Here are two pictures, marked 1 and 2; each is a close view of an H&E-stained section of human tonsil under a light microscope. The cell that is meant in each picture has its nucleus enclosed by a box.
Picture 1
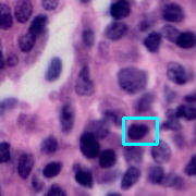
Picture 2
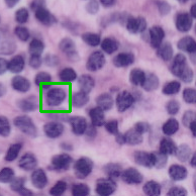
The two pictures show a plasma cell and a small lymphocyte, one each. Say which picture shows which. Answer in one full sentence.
Picture 1 is of a plasma cell, and picture 2 is of a small lymphocyte.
